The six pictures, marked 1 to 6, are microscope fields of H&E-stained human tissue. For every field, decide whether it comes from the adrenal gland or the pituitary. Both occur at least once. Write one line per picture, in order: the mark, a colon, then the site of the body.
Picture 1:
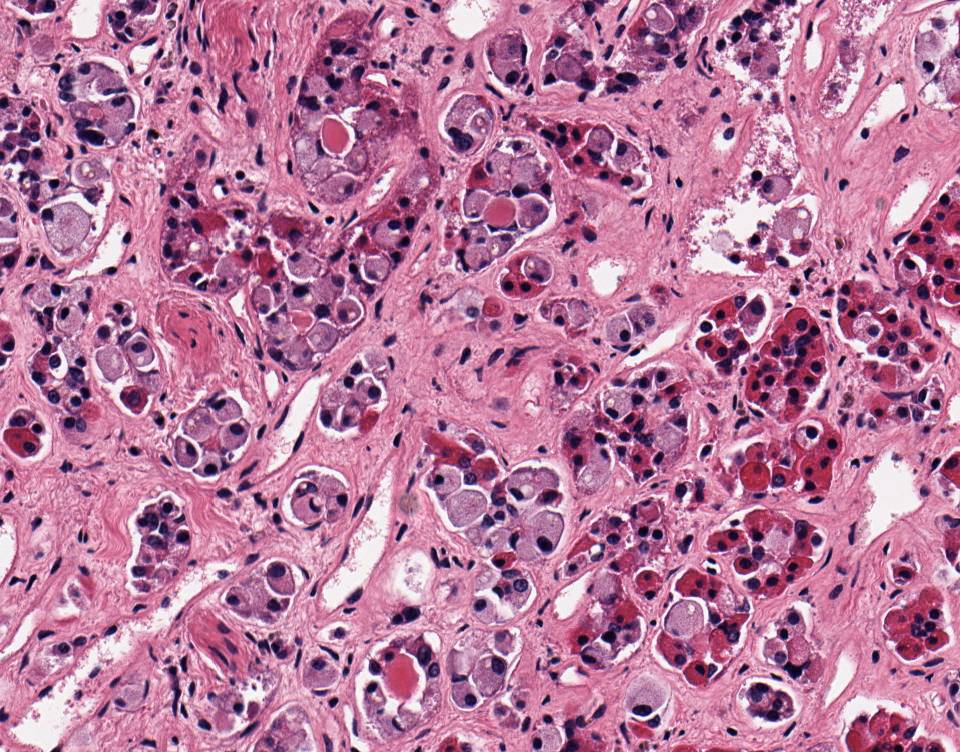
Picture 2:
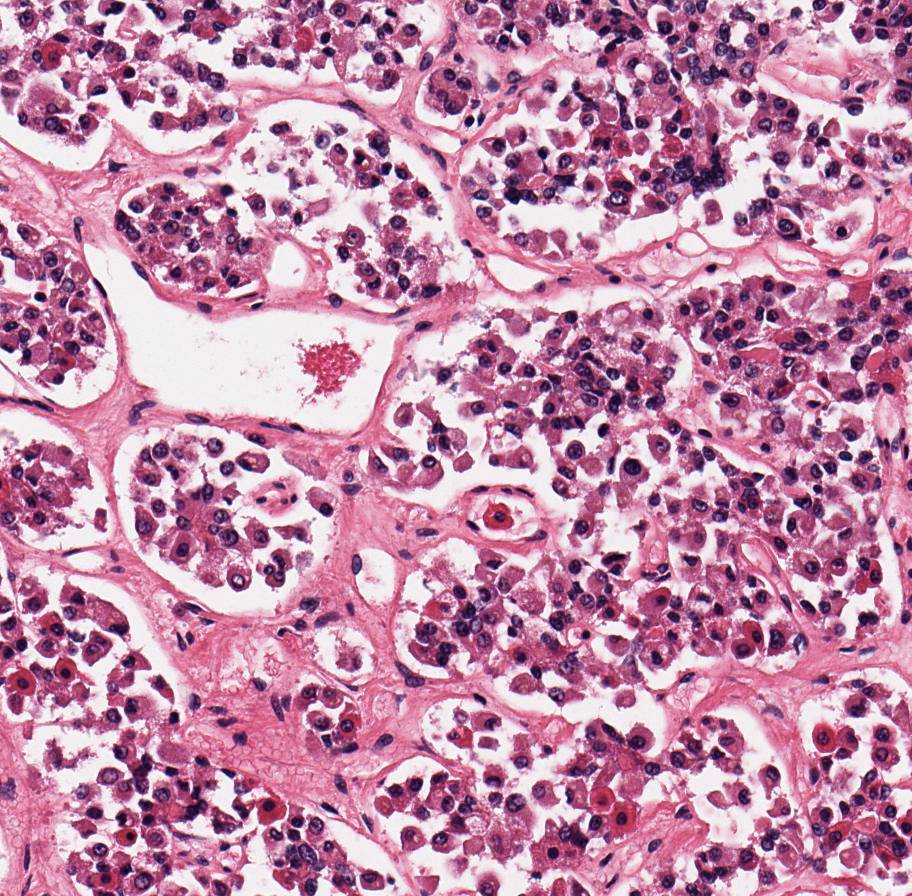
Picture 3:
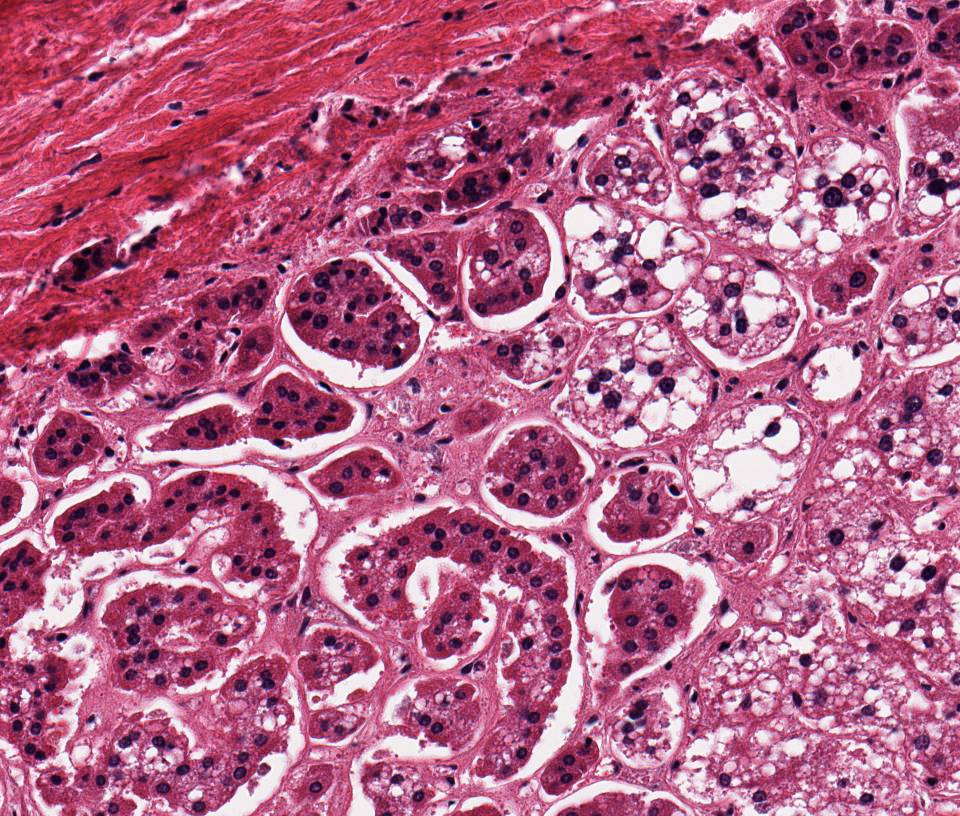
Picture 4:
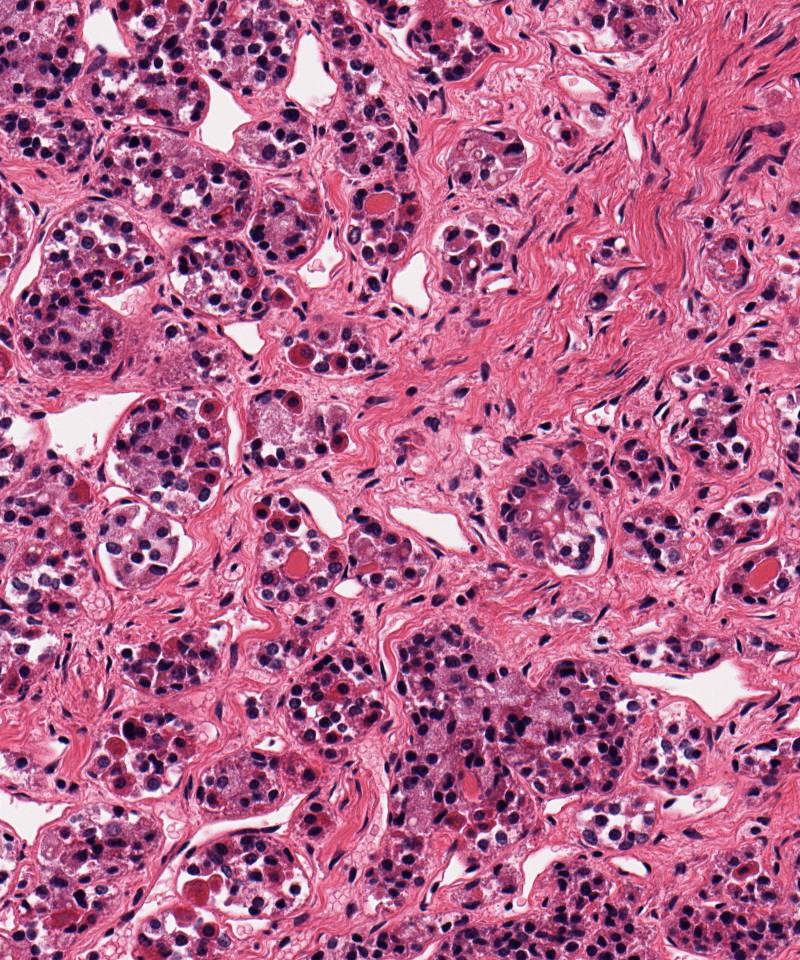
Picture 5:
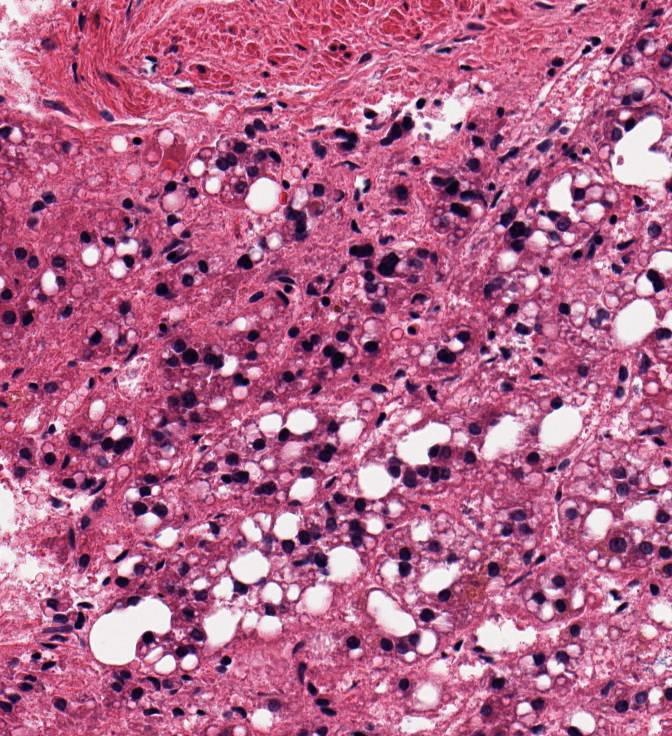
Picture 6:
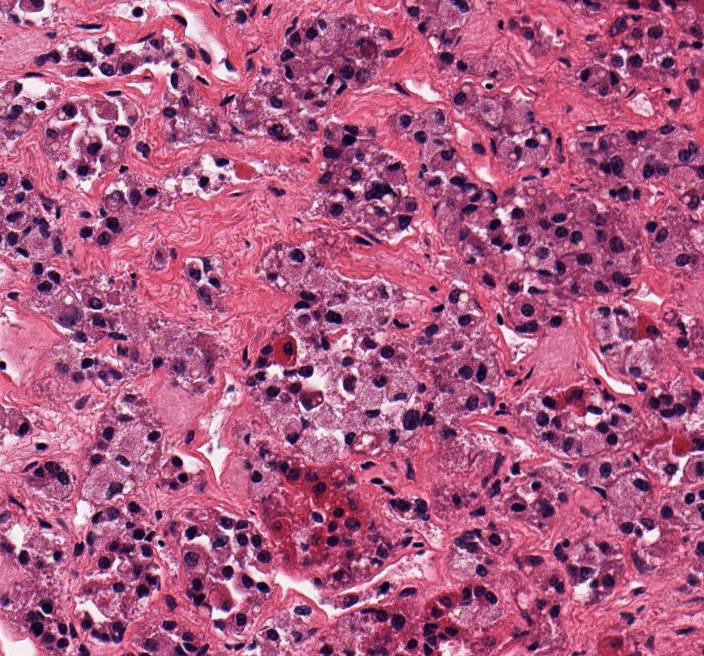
1: pituitary
2: pituitary
3: adrenal gland
4: pituitary
5: adrenal gland
6: pituitary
